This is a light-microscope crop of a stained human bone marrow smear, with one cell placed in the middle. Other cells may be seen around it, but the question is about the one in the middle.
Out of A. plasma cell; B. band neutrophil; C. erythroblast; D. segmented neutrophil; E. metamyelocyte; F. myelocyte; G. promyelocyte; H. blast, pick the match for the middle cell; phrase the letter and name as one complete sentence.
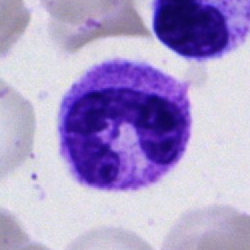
Option B stands as correct, the central cell being a band neutrophil.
